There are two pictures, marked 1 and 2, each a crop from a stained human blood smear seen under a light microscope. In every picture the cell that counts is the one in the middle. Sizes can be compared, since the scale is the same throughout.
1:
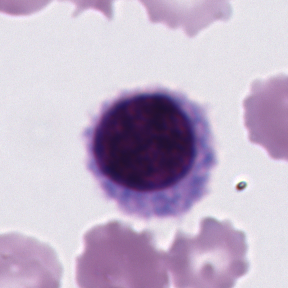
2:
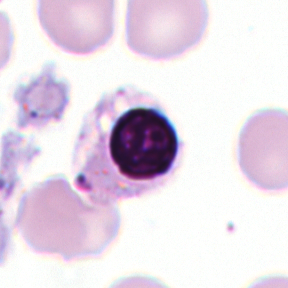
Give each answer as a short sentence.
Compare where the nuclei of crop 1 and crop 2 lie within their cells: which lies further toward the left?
Seen within its cell, the nucleus in crop 1 lies further toward the left.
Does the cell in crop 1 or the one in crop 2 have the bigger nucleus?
The nucleus in crop 1 is larger, with about 2 times the area of the one in crop 2.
